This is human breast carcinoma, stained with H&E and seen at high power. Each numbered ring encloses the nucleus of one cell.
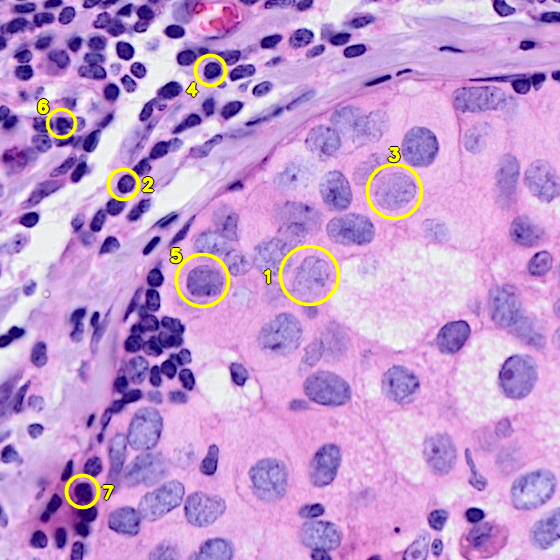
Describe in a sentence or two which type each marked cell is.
Cell 1 is a carcinoma cell, cell 2 is a lymphocyte, cell 3 is a carcinoma cell, cell 4 is a lymphocyte, cell 5 is a carcinoma cell, cell 6 is a lymphocyte and cell 7 is a lymphocyte.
